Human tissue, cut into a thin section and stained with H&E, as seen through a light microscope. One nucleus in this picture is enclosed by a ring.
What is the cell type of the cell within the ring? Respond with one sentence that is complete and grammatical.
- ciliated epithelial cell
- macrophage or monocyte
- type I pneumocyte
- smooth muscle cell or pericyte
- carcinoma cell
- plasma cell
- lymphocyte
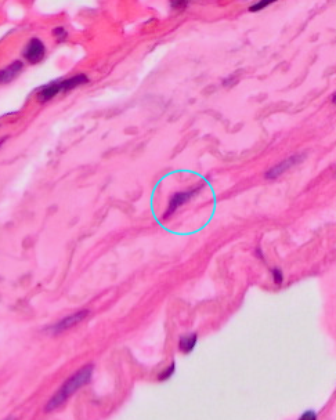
In the context of this tissue, the cell within the ring is a smooth muscle cell or pericyte.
